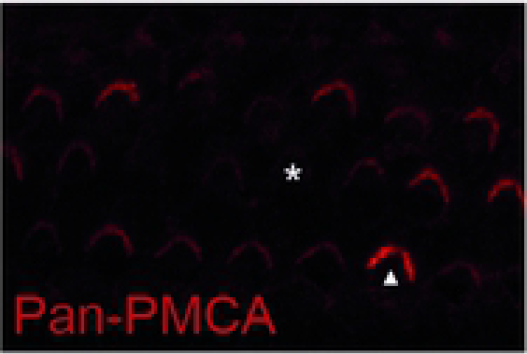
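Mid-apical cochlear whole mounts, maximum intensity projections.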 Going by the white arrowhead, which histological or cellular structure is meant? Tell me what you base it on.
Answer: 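Bundles. The arrowhead points to a brightly labelled V-shaped structure. Similar fainter V shapes lie in rows around it.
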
